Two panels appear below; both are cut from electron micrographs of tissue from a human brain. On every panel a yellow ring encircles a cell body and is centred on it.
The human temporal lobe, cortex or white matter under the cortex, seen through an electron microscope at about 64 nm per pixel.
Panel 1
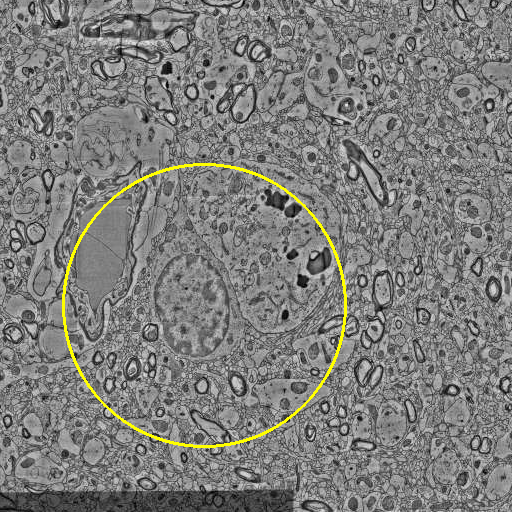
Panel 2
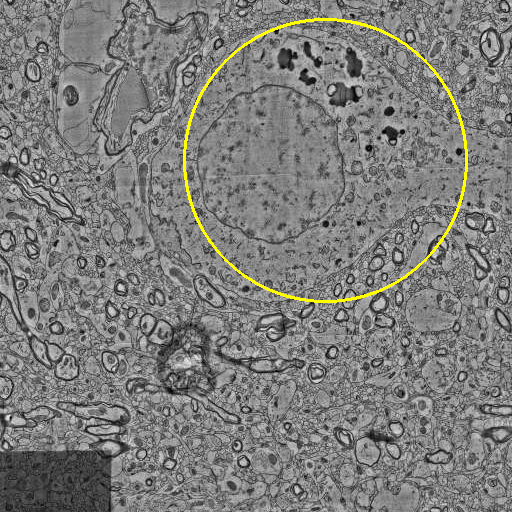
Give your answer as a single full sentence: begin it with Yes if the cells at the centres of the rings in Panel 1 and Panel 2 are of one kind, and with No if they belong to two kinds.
No, the cells in the middle of the rings in Panels 1 and 2 are of two kinds.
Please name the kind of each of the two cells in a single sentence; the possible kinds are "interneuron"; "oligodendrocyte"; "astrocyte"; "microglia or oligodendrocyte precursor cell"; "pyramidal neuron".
In the first picture the ring is centred on an oligodendrocyte, and in the second on a pyramidal neuron.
